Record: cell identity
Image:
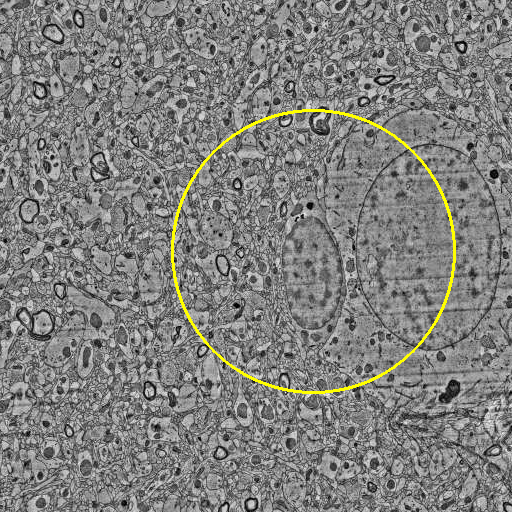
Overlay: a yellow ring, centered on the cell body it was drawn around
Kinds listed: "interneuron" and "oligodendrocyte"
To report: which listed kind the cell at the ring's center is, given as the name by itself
oligodendrocyte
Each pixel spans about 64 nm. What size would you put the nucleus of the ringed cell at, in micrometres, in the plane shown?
At approximately 7 by 4 micrometres, the nucleus is clearly longer than it is wide in this plane.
